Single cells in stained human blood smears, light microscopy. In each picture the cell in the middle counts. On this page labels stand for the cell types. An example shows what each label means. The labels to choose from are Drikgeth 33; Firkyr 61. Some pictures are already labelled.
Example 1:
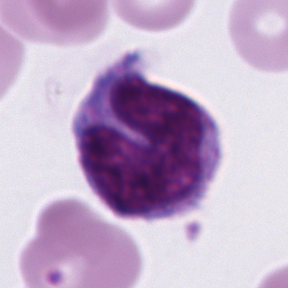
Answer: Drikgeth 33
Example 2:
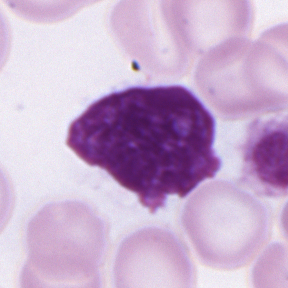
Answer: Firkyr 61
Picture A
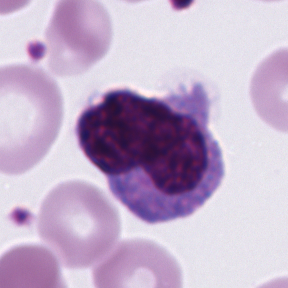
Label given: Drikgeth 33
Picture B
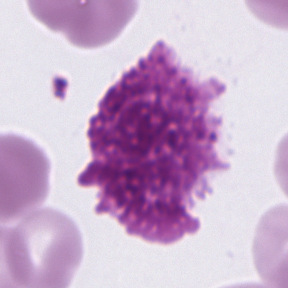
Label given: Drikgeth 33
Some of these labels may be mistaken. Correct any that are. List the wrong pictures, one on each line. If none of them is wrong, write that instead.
B should be Firkyr 61, not Drikgeth 33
